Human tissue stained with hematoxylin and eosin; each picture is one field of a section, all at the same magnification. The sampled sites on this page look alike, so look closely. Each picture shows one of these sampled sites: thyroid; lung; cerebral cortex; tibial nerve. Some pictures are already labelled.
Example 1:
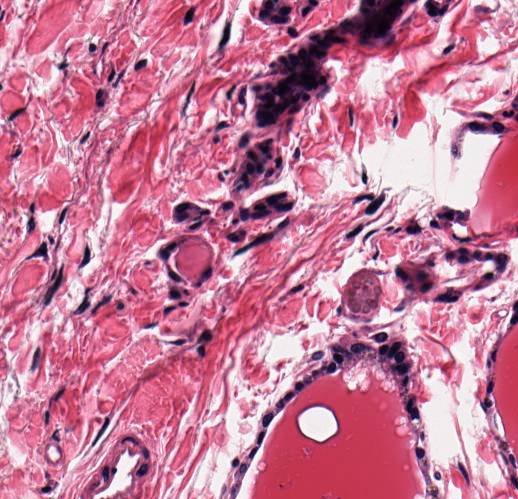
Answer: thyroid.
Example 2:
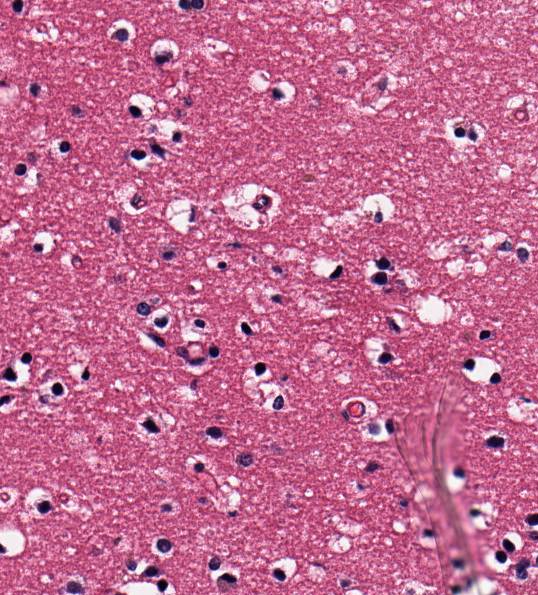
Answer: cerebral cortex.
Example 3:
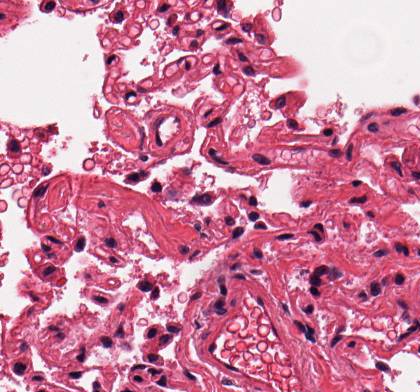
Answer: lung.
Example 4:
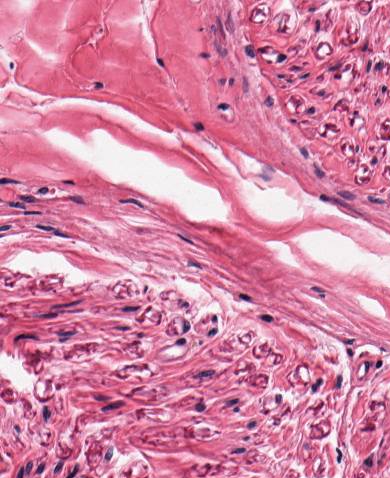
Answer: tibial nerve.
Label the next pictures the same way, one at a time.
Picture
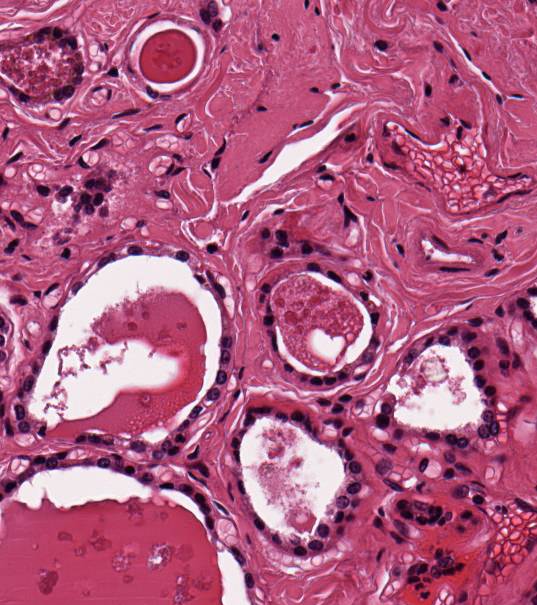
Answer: thyroid.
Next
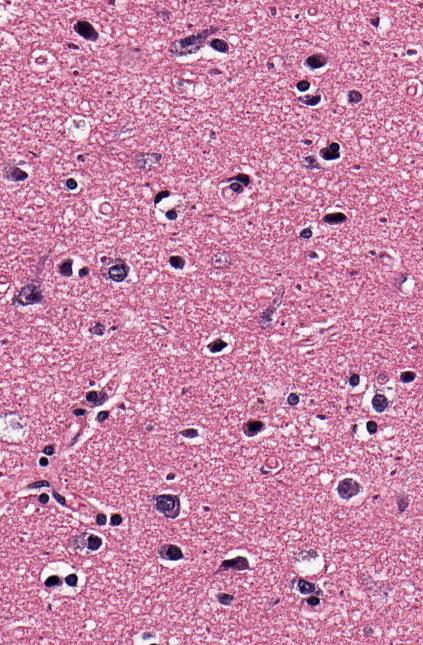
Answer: cerebral cortex.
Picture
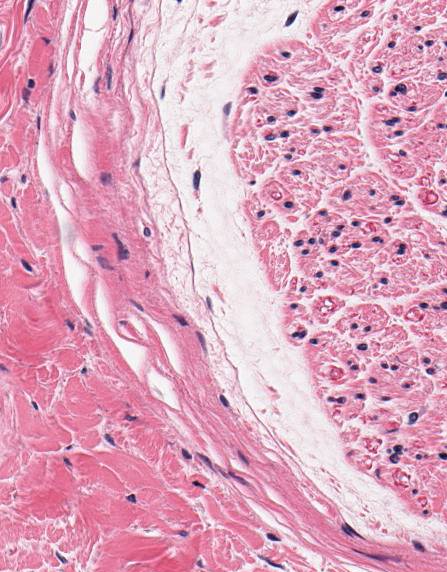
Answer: tibial nerve.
